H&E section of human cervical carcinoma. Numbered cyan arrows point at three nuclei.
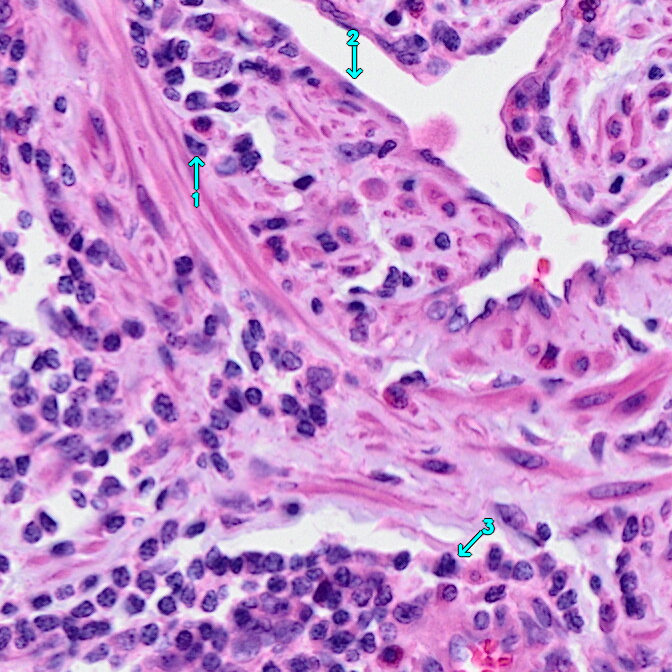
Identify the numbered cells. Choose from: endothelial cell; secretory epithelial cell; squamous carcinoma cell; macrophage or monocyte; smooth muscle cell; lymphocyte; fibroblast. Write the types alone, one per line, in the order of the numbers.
lymphocyte
endothelial cell
lymphocyte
